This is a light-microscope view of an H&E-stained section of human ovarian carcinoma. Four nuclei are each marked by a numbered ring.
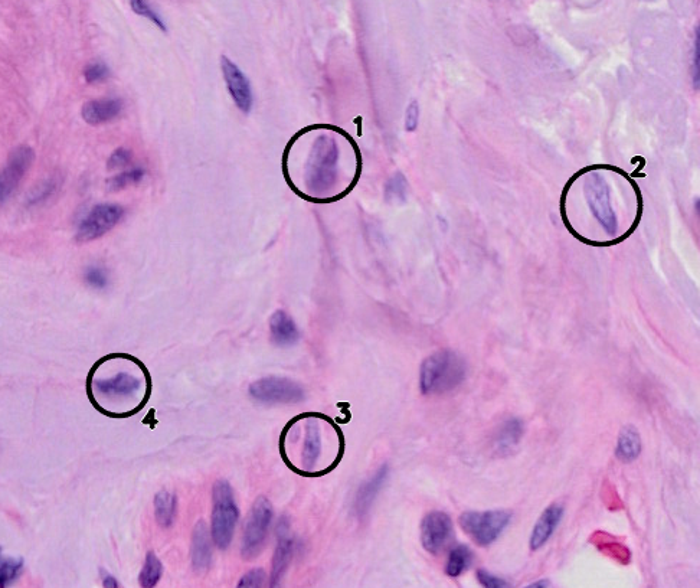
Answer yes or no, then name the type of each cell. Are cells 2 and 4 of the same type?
Yes, that is right: cells 2 and 4 are both fibroblasts.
